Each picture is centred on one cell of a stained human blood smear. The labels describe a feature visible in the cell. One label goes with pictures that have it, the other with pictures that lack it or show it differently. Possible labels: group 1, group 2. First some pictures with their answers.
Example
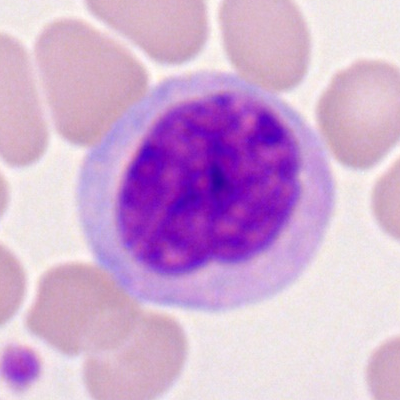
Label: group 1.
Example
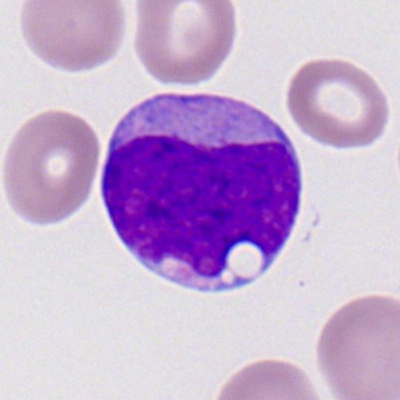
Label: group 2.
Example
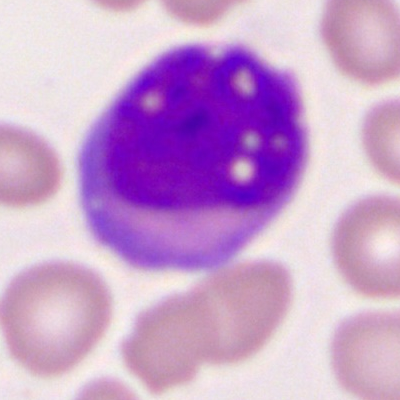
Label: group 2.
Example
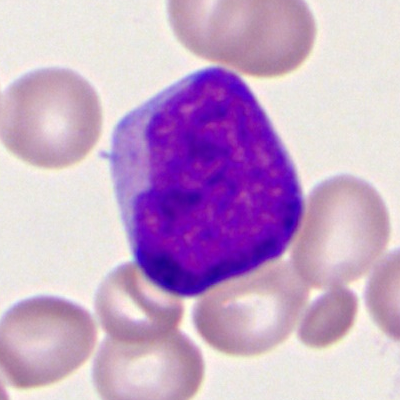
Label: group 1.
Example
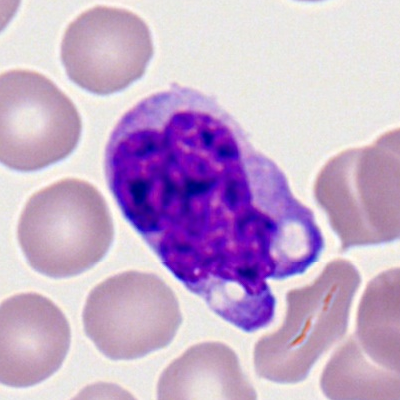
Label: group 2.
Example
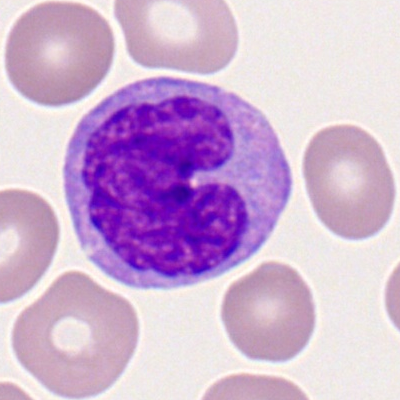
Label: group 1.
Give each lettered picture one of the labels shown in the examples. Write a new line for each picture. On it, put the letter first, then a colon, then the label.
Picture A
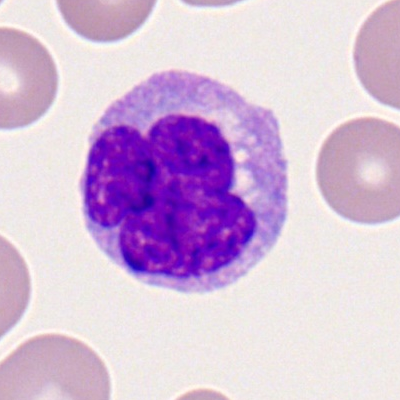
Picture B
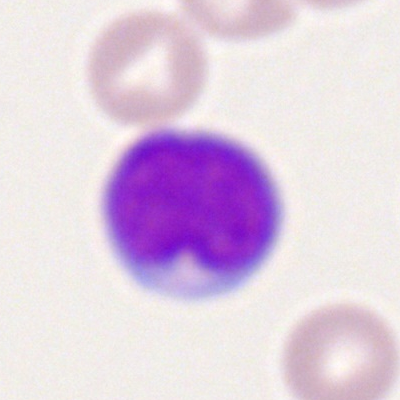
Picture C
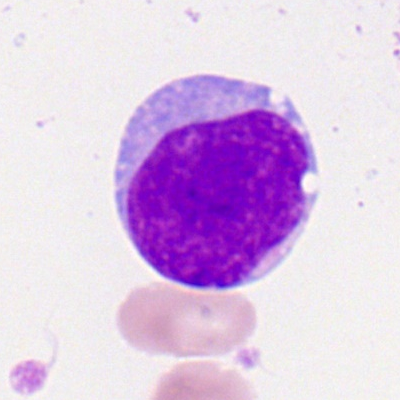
A: group 2.
B: group 1.
C: group 2.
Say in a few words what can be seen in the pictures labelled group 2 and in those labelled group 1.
Seen in group 2: vacuoles present; seen in group 1: no vacuoles.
